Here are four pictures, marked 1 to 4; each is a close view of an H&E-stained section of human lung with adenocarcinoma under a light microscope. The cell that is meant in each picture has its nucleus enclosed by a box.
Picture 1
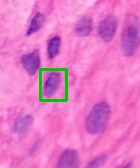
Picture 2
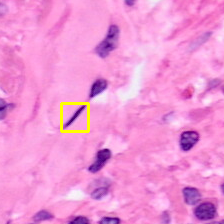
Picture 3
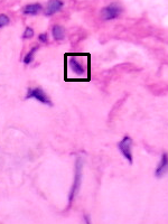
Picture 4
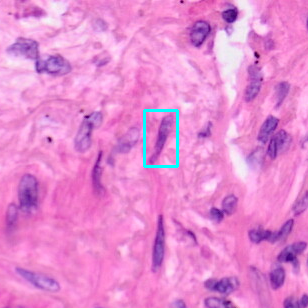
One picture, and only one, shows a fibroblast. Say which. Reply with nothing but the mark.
2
